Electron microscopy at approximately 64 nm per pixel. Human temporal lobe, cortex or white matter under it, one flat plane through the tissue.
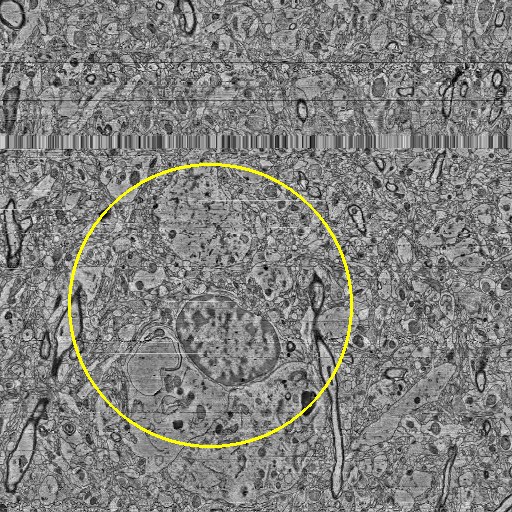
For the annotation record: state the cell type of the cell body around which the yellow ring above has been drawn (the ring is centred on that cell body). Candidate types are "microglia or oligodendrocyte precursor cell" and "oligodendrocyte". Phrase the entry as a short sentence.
The ringed cell is a microglial cell or oligodendrocyte precursor cell.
